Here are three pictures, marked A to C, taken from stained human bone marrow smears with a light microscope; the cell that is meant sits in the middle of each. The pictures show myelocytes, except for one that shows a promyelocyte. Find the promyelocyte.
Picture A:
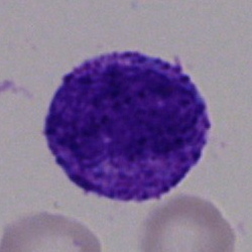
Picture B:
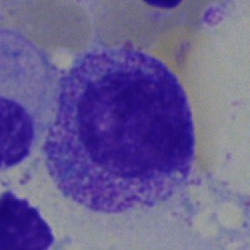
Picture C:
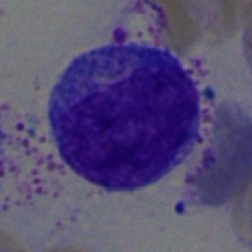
A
